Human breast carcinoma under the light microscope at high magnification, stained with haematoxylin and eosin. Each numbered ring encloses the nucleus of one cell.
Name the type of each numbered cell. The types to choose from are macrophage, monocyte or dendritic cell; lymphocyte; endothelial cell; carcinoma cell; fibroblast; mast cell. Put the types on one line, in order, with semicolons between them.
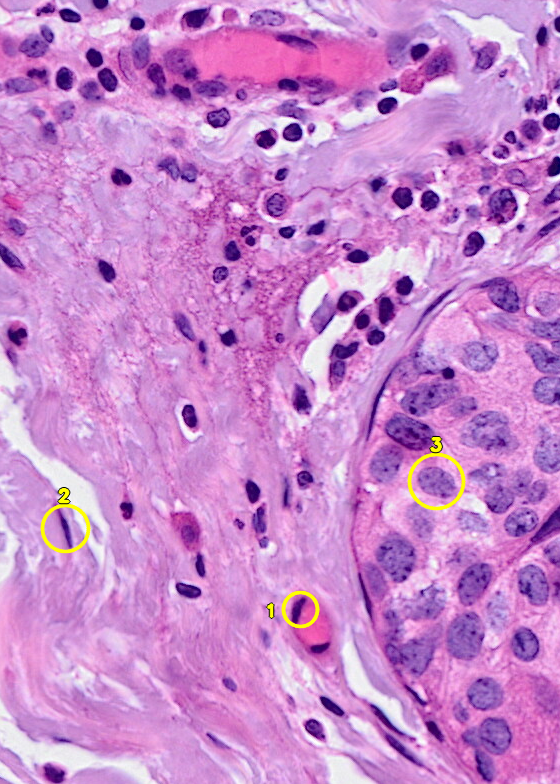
endothelial cell; fibroblast; carcinoma cell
